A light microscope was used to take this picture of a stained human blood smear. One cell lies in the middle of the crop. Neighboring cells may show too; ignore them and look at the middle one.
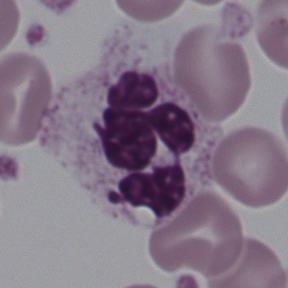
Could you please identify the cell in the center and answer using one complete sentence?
The cell at the middle of the frame should be recorded as a segmented neutrophil.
